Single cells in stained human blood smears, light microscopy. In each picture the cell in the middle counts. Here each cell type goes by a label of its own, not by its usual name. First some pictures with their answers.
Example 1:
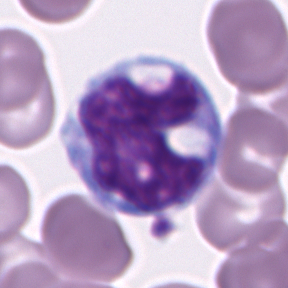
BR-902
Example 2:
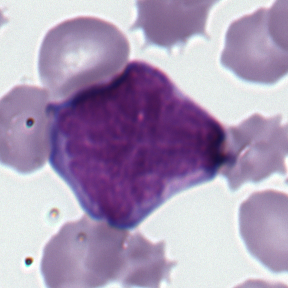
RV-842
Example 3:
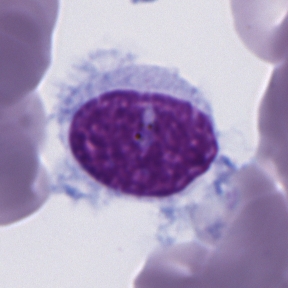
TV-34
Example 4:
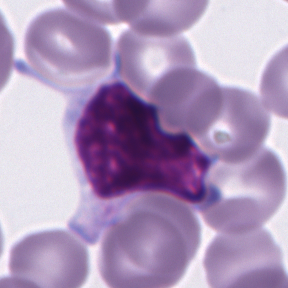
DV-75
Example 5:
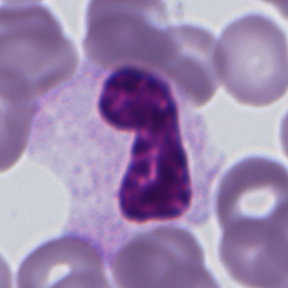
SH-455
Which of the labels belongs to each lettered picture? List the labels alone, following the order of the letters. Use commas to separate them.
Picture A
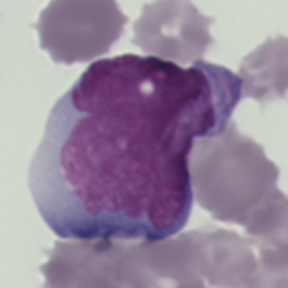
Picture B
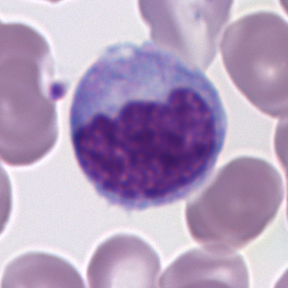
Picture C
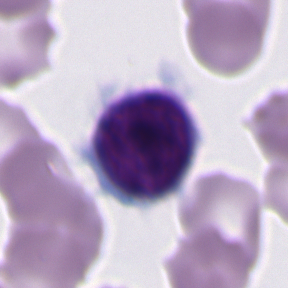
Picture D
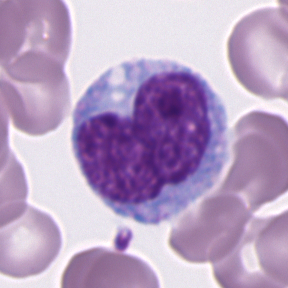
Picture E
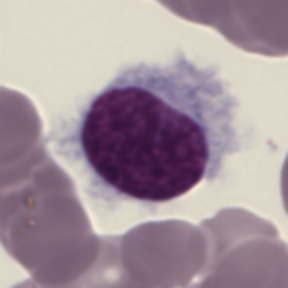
RV-842, BR-902, TV-34, BR-902, TV-34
